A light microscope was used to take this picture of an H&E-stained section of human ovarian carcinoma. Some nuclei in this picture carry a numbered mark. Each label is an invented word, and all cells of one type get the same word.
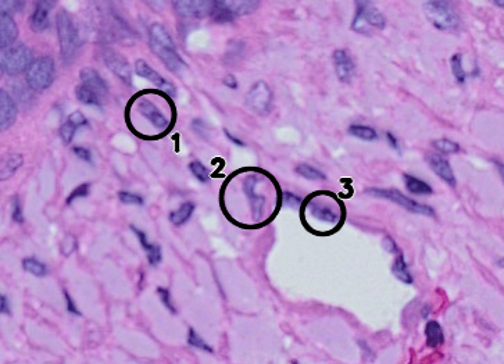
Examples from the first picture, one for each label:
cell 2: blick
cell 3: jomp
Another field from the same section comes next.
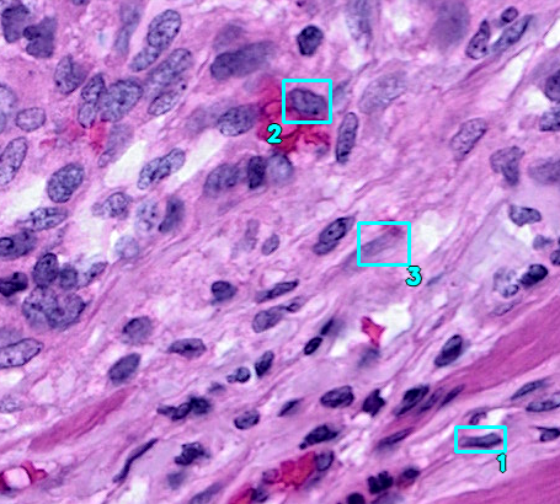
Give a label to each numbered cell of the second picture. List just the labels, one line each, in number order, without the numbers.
jomp
jomp
blick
